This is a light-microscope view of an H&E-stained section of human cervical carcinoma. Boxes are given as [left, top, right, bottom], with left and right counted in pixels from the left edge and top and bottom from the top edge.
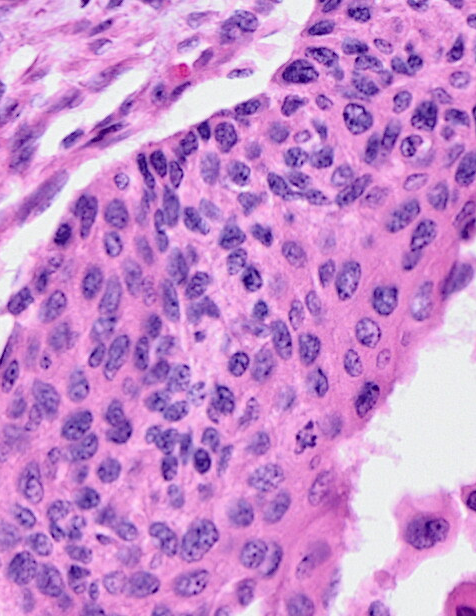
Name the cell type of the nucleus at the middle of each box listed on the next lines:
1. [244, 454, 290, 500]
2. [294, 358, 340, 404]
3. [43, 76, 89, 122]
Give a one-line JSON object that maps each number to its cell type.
{"1": "squamous carcinoma cell", "2": "squamous carcinoma cell", "3": "fibroblast"}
